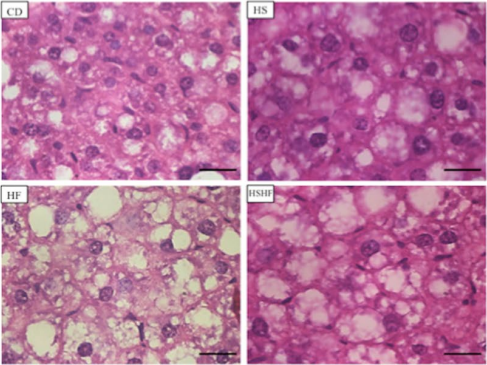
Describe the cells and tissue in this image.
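Four fields of liver show large polygonal hepatocytes packed closely together. The pink cytoplasm is interrupted by many clear, unstained vacuoles of varying size. In some fields the vacuoles are large and push against the cell borders, making the cells look swollen and pale. Nuclei appear more widely spaced where the cells are larger.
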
